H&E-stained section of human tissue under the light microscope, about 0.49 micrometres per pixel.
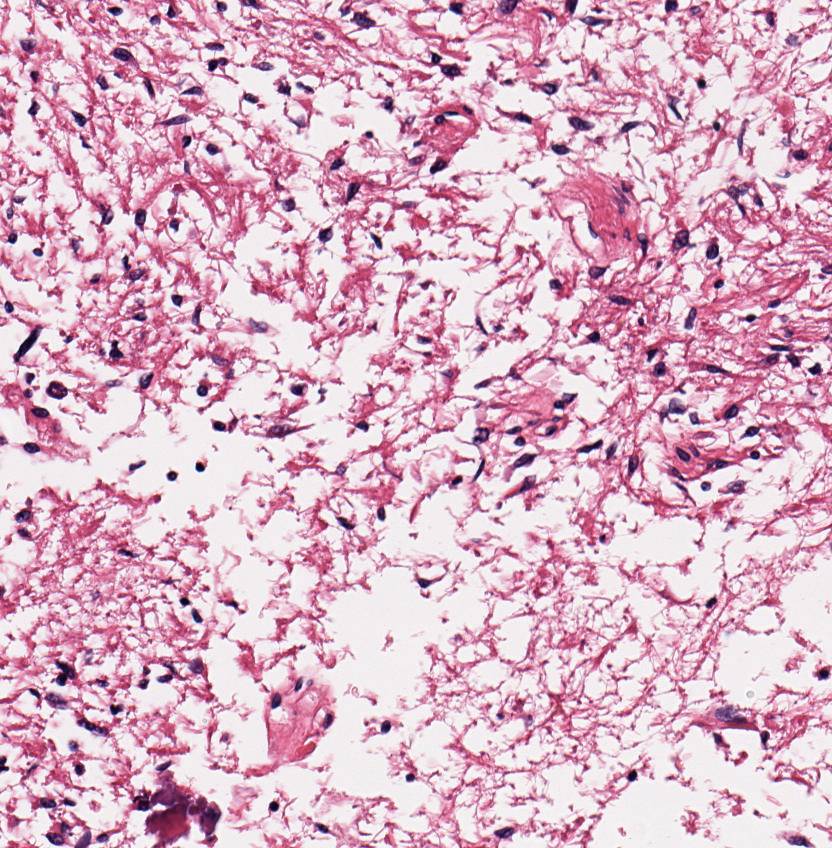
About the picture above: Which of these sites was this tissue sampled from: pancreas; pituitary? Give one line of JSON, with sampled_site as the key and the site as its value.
{"sampled_site": "pituitary"}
